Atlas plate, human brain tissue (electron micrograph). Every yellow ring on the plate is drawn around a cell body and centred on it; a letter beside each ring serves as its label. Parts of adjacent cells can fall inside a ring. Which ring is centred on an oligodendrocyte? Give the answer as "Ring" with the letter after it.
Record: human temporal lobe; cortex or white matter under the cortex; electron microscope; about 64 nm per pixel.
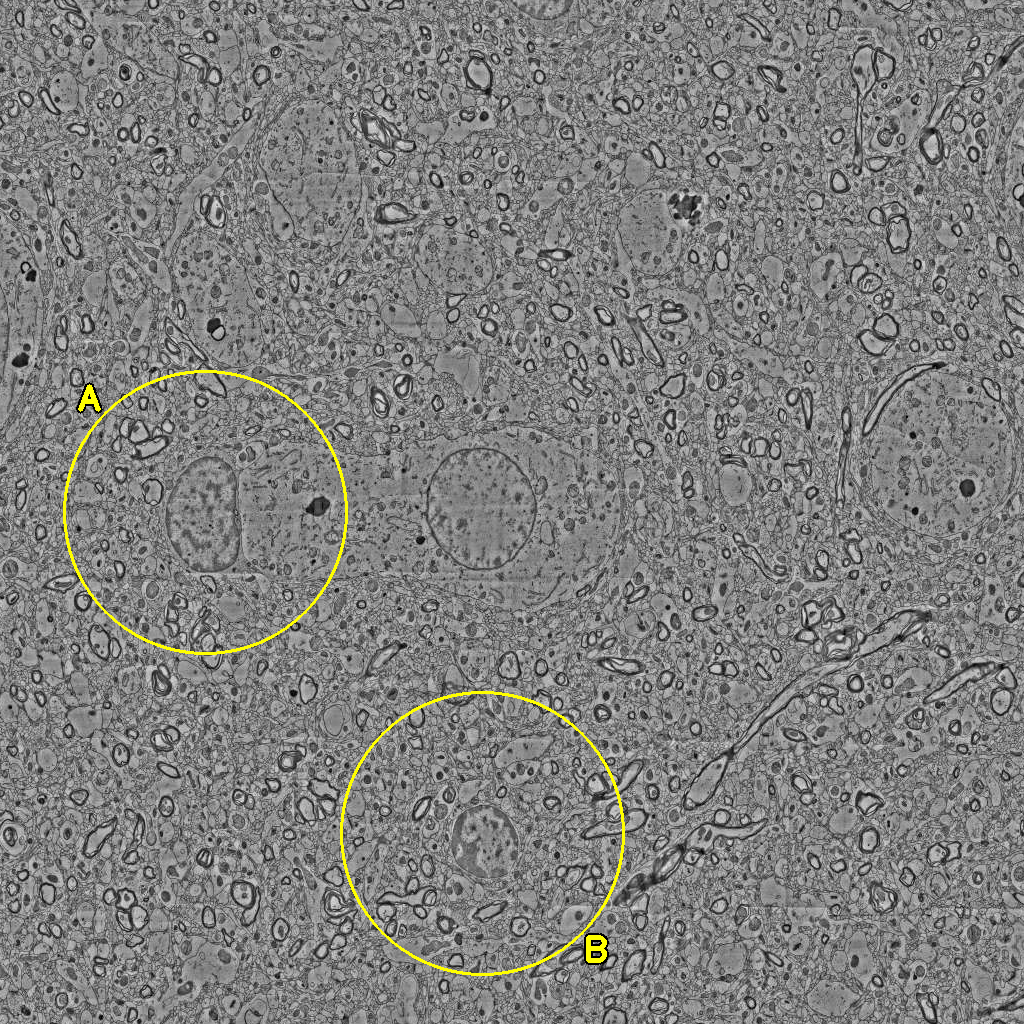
Ring A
